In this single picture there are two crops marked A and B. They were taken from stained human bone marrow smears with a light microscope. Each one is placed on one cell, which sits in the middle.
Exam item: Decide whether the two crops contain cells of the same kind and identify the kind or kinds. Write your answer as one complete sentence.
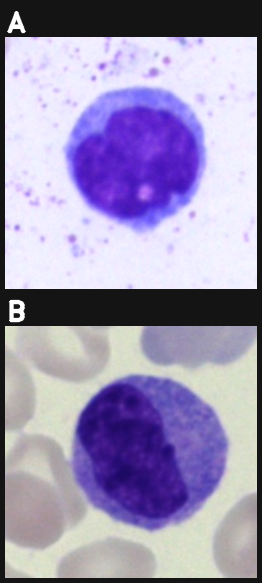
Yes, in short, both crops show monocytes.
